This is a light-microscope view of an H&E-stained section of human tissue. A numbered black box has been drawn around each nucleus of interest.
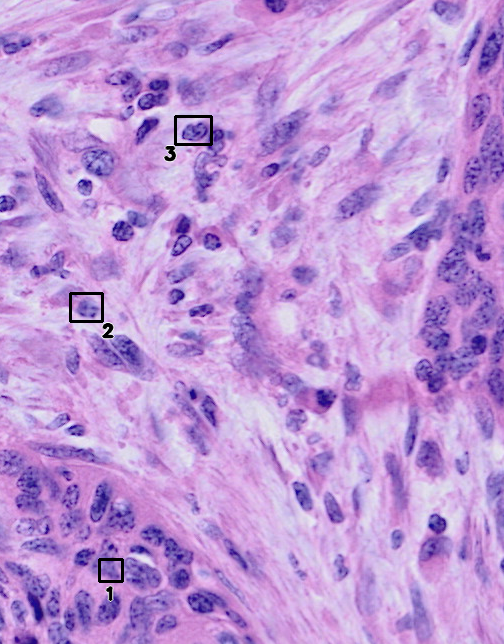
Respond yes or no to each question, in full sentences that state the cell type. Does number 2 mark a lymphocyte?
Yes, the cell referred to as number 2 is a lymphocyte.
